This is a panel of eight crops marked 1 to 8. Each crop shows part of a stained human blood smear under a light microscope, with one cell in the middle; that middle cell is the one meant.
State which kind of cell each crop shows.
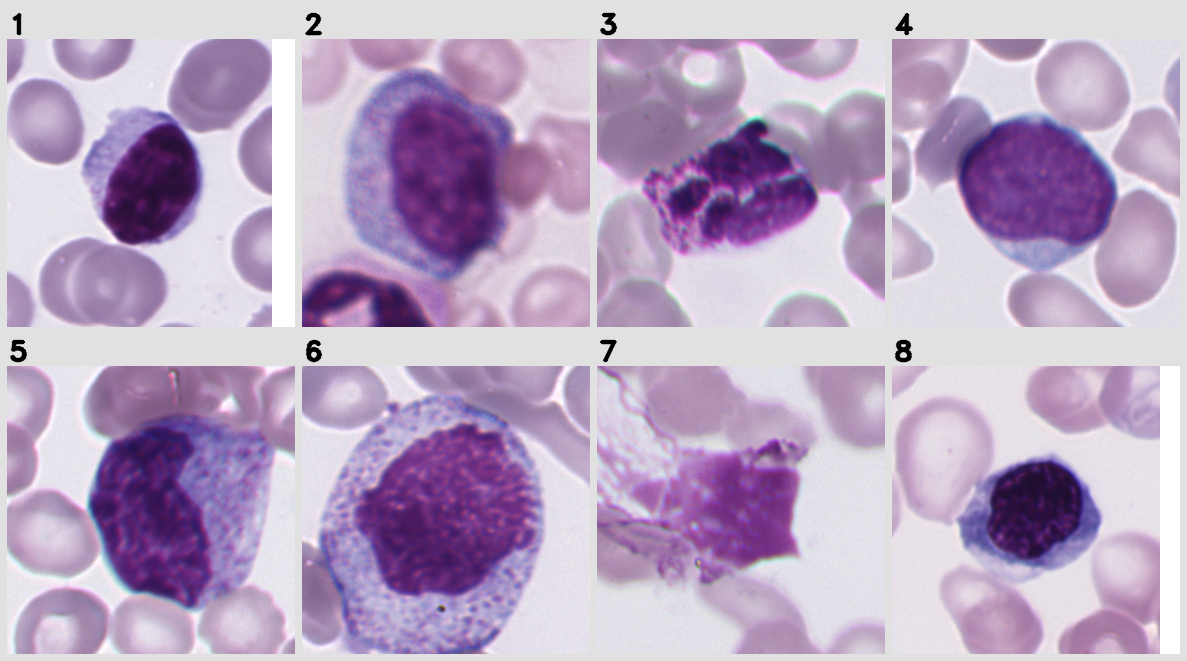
1: typical lymphocyte
2: promyelocyte
3: basophil
4: myeloblast
5: promyelocyte
6: promyelocyte
7: smudge cell
8: normoblast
